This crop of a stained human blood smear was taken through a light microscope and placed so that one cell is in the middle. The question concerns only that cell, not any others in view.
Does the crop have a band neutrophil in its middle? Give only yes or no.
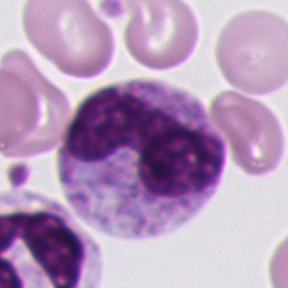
yes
